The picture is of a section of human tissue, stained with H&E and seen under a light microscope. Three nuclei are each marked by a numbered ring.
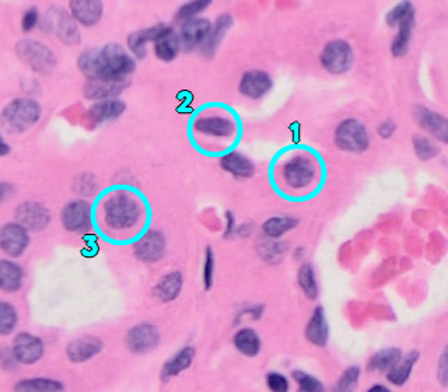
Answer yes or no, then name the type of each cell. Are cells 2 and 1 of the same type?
Yes, cell 2 and likewise cell 1 are loop of Henle or distal tubule cells.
